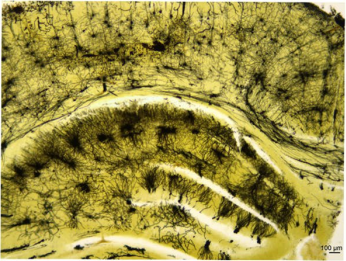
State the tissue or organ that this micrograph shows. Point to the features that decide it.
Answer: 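Hippocampus. Many black neurons with fine processes radiating from the bands. Layered arrangement with paler fiber-rich zones between the cell bands.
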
